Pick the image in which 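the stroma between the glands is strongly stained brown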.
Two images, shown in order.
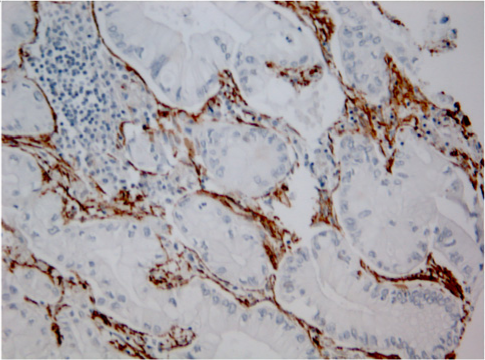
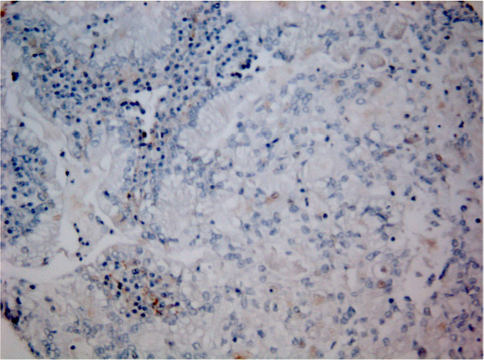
the first image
